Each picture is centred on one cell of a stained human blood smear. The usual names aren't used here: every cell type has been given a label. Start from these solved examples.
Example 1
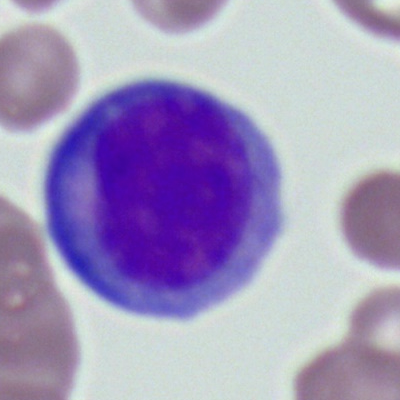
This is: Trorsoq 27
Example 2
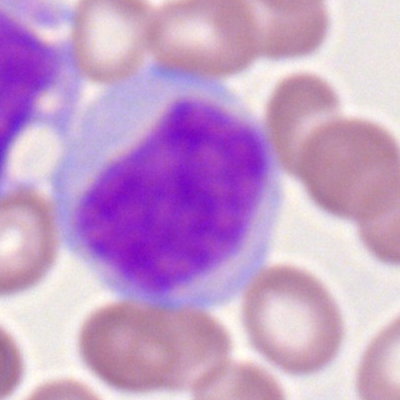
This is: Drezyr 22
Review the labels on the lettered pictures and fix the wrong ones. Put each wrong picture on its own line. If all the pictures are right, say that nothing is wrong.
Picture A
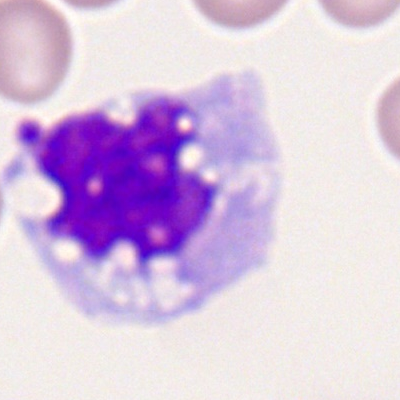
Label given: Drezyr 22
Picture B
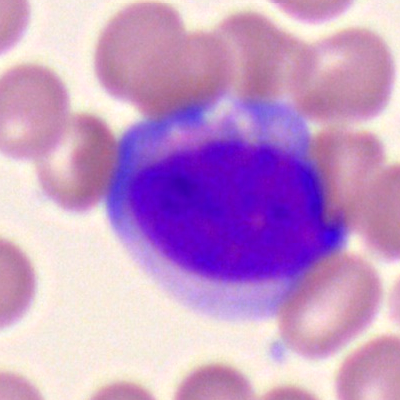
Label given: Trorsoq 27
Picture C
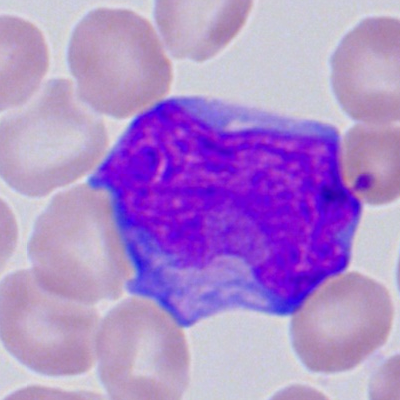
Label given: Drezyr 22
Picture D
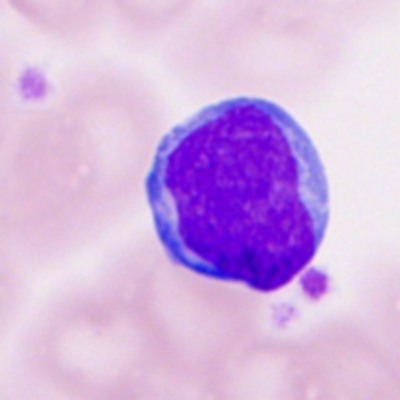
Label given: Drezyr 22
C should be Trorsoq 27, not Drezyr 22
D should be Trorsoq 27, not Drezyr 22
